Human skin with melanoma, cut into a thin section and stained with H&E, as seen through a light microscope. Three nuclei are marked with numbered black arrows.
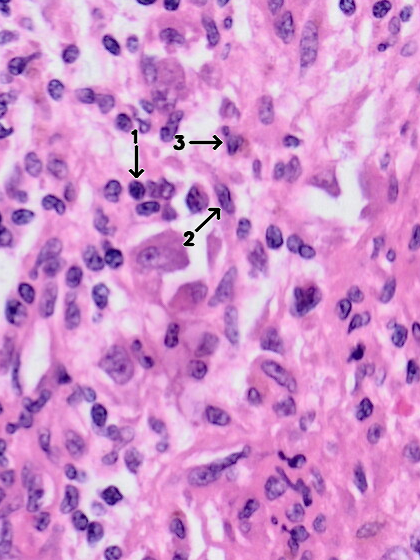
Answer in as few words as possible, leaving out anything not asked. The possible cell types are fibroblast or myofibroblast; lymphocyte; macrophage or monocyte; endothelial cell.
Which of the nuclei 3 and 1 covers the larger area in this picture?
3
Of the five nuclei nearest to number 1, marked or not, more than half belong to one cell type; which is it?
macrophage or monocyte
